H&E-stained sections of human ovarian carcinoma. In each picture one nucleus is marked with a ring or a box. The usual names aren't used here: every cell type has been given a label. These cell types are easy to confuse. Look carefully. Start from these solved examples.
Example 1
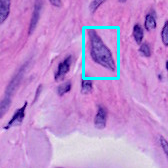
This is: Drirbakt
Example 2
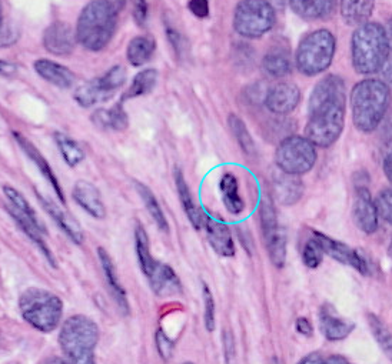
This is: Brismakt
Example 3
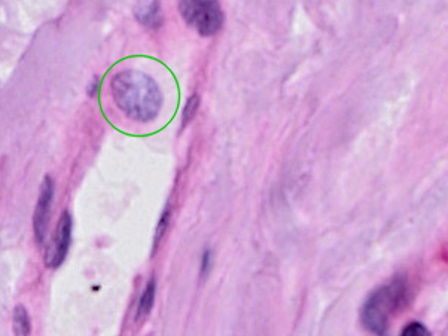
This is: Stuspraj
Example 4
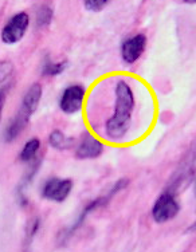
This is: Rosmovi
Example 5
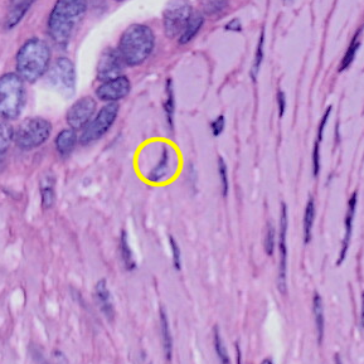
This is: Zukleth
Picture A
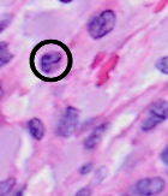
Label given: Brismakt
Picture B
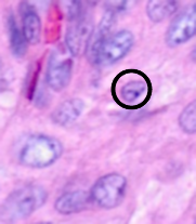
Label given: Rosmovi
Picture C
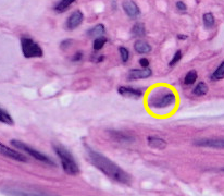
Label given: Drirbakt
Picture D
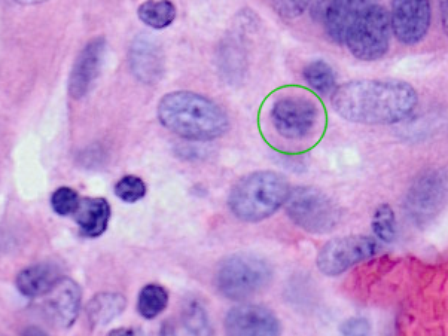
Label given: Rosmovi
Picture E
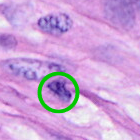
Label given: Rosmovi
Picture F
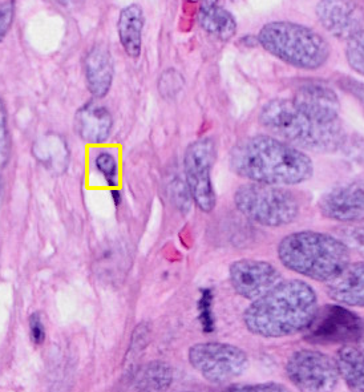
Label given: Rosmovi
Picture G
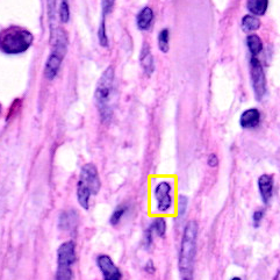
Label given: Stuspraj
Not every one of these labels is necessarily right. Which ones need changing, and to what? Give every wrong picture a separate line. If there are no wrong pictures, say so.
G: change Stuspraj to Brismakt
